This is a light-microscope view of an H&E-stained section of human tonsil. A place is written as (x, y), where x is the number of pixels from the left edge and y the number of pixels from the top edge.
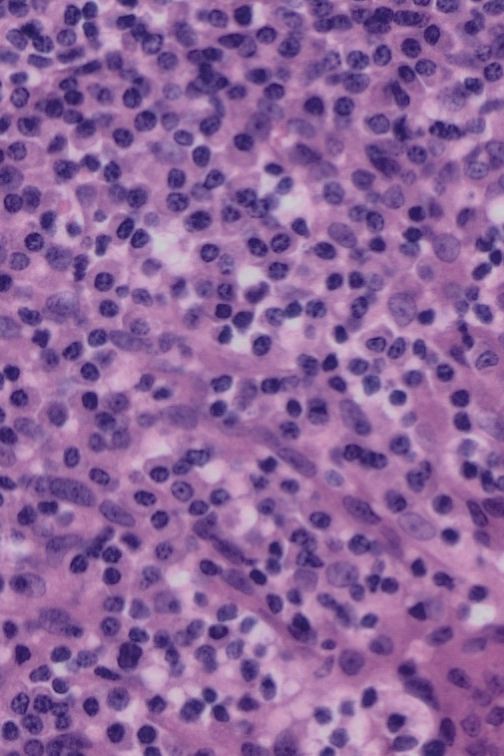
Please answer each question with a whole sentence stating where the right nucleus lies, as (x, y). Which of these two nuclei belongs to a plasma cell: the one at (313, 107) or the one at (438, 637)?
It is the nucleus at (313, 107), not the other one, that belongs to a plasma cell.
